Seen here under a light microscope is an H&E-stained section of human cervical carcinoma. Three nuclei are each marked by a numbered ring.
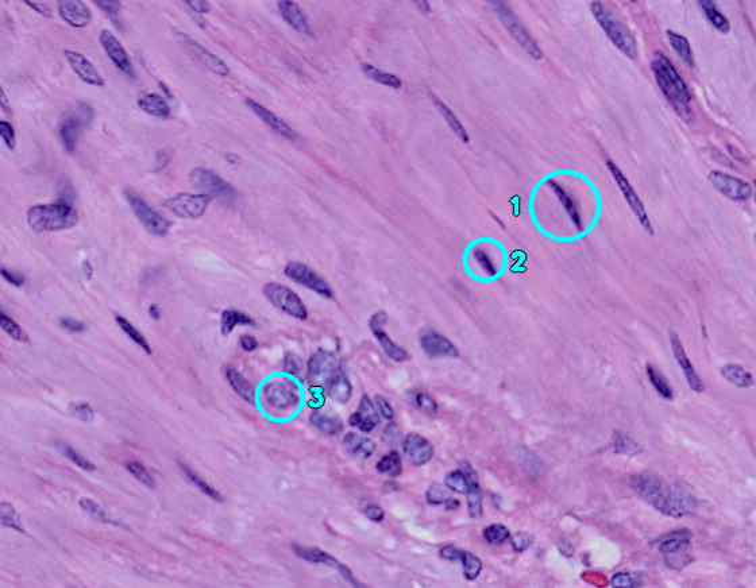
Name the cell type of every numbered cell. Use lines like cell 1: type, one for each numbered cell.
cell 1: fibroblast
cell 2: fibroblast
cell 3: endothelial cell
